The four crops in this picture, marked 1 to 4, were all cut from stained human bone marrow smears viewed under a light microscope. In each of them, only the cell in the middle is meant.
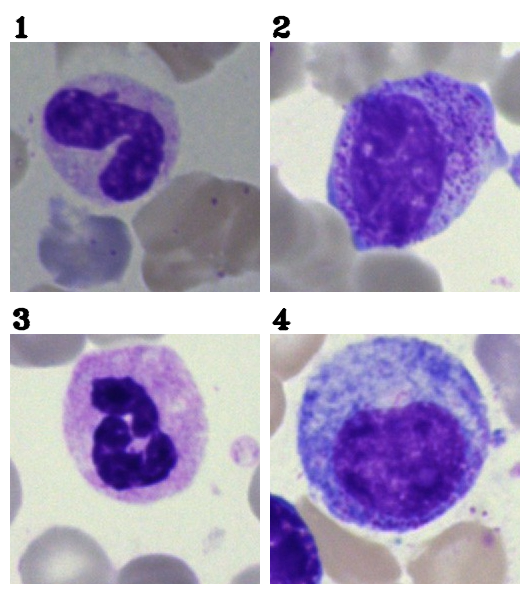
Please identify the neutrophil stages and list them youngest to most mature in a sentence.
Arranged from least mature to most mature, the sequence reads crop 4 (a promyelocyte), crop 2 (a myelocyte), crop 1 (a band neutrophil) and crop 3 (a segmented neutrophil).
